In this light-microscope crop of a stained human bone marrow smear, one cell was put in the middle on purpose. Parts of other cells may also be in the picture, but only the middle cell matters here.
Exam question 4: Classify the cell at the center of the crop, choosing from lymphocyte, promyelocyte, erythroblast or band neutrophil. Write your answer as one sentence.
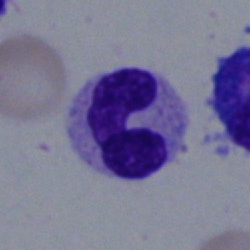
The cell found in the middle of this crop is a band neutrophil.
